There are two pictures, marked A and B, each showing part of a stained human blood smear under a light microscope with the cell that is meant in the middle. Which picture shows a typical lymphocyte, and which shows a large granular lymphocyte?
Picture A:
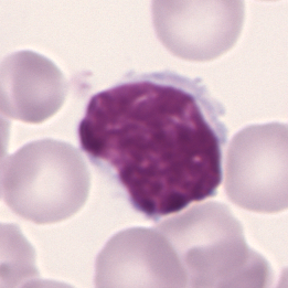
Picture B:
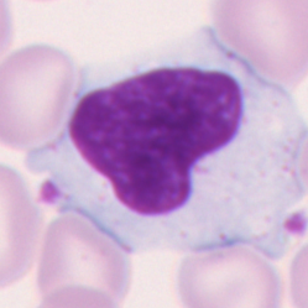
A: typical lymphocyte
B: large granular lymphocyte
